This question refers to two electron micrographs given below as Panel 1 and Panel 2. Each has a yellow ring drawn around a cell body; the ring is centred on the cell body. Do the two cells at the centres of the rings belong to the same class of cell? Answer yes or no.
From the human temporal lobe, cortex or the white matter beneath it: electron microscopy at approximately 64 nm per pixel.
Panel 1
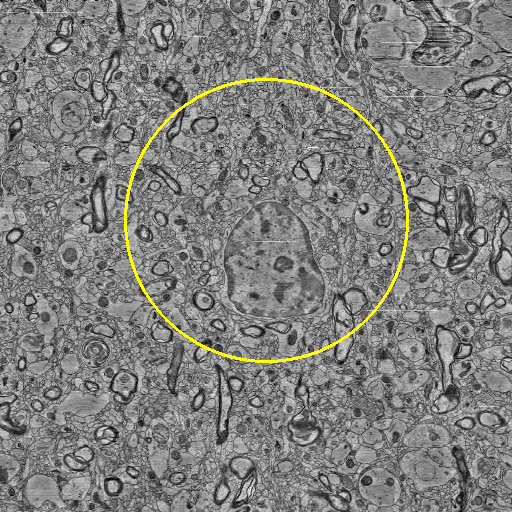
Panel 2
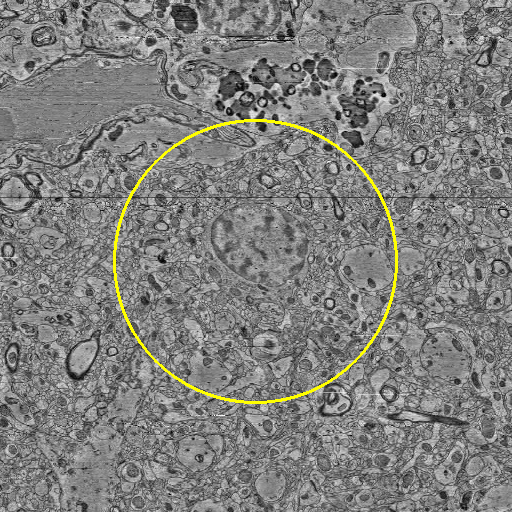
no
